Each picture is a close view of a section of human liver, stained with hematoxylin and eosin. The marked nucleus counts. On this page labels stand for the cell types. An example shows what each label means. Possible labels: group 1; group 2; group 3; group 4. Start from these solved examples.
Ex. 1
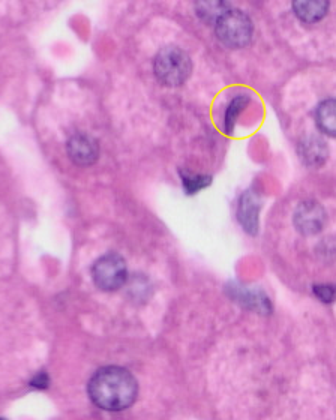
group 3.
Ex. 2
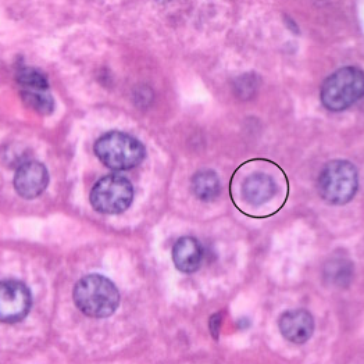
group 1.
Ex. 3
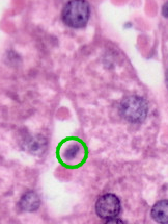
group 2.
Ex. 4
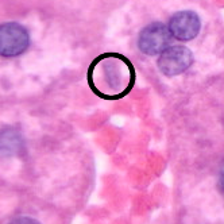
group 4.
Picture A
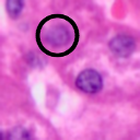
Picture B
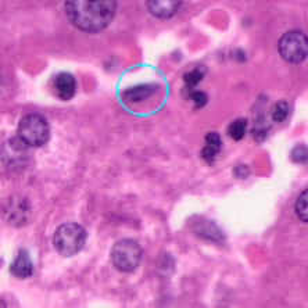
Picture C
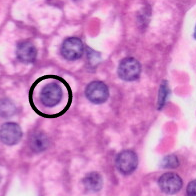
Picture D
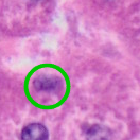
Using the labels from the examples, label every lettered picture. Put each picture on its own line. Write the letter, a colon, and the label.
A: group 1.
B: group 3.
C: group 1.
D: group 3.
